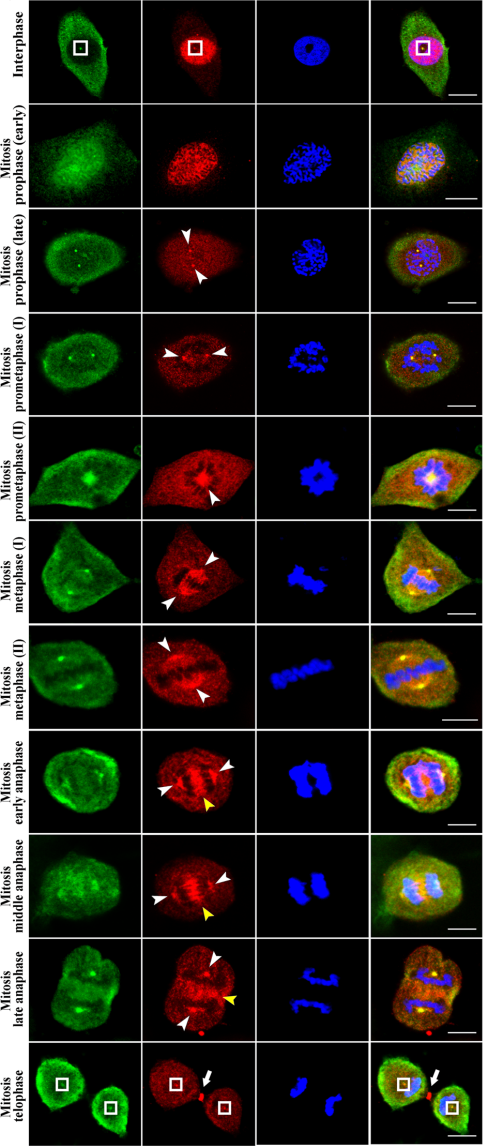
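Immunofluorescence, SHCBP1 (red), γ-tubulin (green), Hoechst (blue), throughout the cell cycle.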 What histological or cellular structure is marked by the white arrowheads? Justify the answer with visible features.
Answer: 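The white arrowheads point to two opposite ends of the dividing cell. The points coincide with bright green dots in the matching image. The marked points flank the condensed chromosomes.
Spindle poles.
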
